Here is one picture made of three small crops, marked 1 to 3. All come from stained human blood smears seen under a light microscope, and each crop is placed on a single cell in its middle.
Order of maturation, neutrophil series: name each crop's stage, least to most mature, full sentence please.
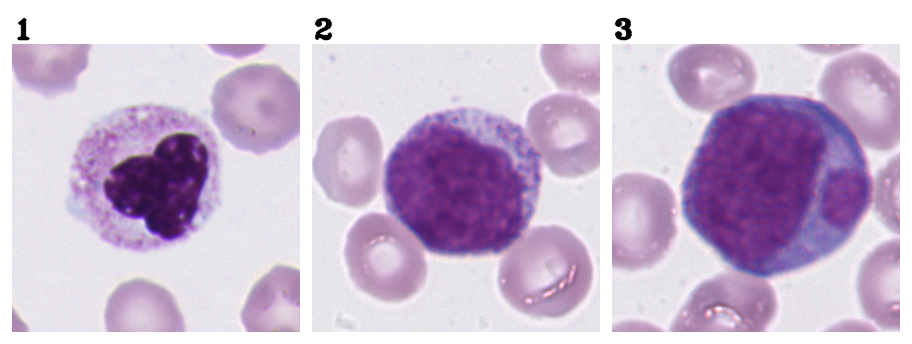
The order of maturity, beginning with the least mature, is crop 3 (a promyelocyte), crop 2 (a myelocyte) and crop 1 (a segmented neutrophil).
